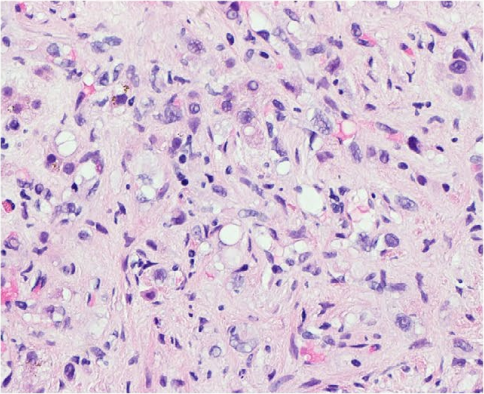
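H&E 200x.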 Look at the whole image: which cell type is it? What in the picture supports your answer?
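Some cells are plump and polygonal, with ample pink cytoplasm. Their nuclei are enlarged and irregular, and some have prominent nucleoli. The answer: atypical epithelioid cells.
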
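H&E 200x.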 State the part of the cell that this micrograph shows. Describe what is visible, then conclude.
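Intracytoplasmic vacuoles. Many cells contain clear, round, empty spaces within their cytoplasm. Some of these clear spaces sit beside or indent a nucleus.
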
